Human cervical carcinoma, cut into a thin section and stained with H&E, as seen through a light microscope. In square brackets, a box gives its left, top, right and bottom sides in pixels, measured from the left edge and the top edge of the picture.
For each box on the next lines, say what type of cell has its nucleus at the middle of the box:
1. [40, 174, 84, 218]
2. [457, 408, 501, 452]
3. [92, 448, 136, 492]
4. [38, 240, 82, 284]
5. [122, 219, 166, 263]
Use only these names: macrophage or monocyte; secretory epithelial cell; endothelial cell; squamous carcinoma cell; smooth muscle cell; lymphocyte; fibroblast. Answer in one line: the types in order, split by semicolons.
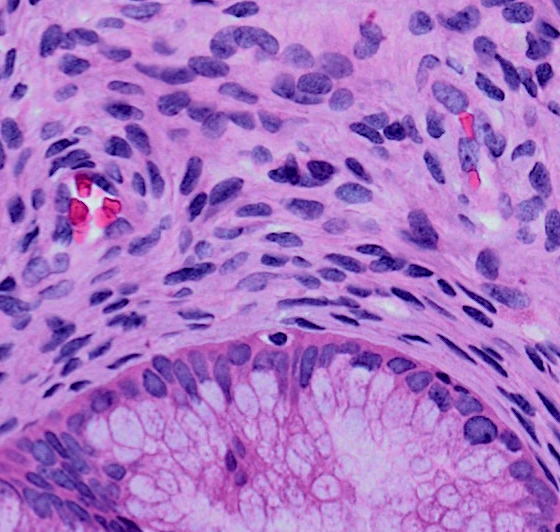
endothelial cell; secretory epithelial cell; secretory epithelial cell; endothelial cell; fibroblast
